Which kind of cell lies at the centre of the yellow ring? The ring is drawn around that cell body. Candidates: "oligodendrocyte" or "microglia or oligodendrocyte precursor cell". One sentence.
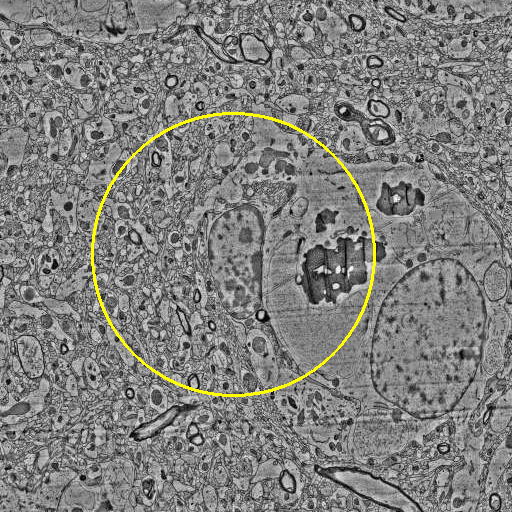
Lying at the centre of the ring is a microglial cell or oligodendrocyte precursor cell.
